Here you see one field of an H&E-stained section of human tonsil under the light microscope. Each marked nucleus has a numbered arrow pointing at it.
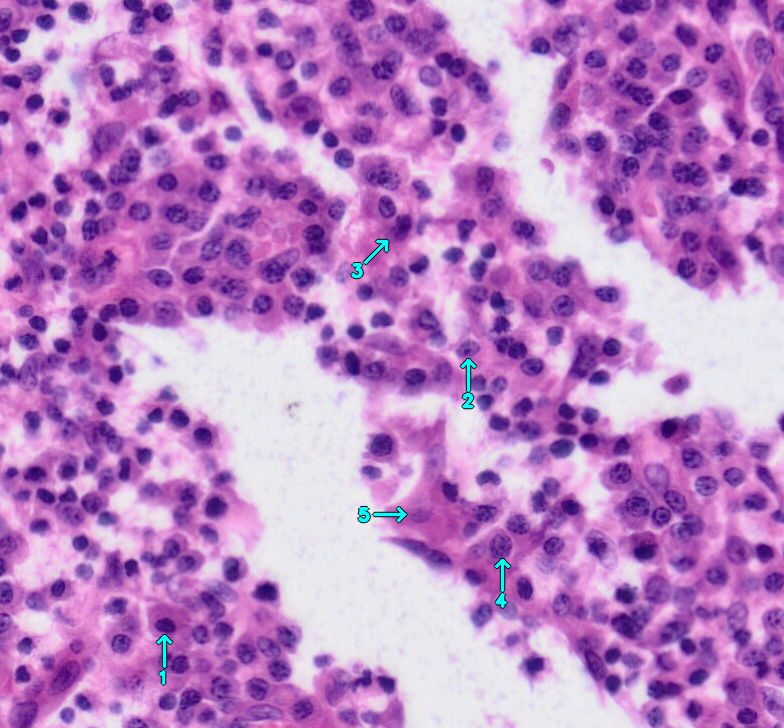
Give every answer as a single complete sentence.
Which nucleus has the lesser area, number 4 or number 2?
It is nucleus 2; nucleus 4 has about 1.5 times its area.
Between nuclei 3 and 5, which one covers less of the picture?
Nucleus 5 is the smaller one; nucleus 3 covers about 2 times its area.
